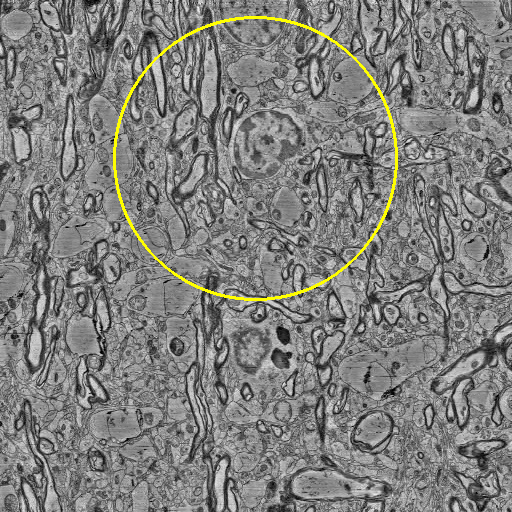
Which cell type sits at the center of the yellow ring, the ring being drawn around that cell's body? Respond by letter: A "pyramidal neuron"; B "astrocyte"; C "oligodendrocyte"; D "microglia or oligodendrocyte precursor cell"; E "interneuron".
D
